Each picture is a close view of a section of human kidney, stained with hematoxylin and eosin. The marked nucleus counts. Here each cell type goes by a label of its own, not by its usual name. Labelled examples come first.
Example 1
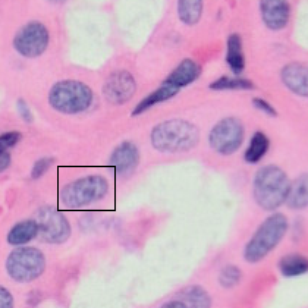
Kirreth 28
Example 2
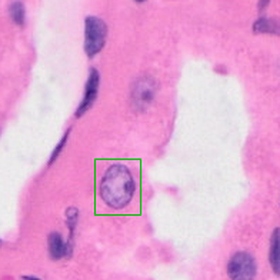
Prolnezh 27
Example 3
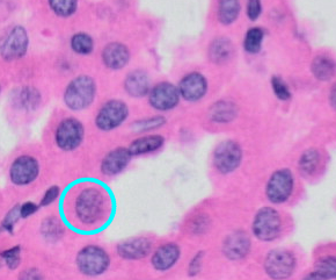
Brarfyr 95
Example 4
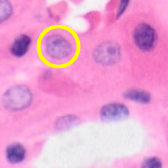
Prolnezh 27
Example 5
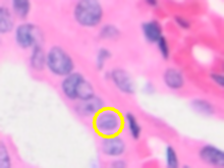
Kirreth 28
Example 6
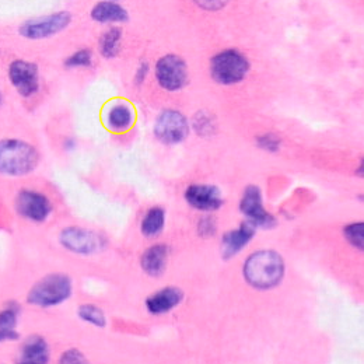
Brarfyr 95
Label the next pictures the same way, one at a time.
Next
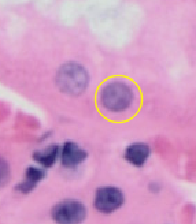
Prolnezh 27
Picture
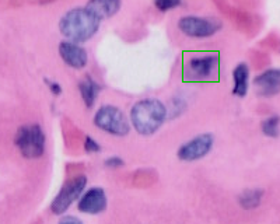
Kirreth 28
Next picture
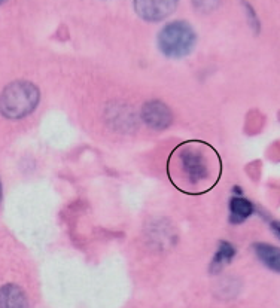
Prolnezh 27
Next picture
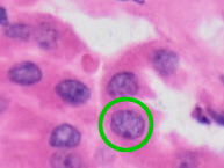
Prolnezh 27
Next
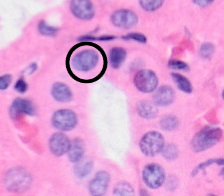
Kirreth 28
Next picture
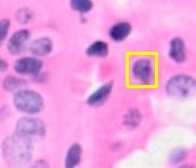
Brarfyr 95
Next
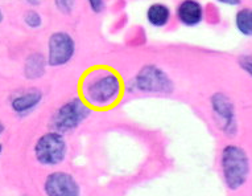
Kirreth 28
